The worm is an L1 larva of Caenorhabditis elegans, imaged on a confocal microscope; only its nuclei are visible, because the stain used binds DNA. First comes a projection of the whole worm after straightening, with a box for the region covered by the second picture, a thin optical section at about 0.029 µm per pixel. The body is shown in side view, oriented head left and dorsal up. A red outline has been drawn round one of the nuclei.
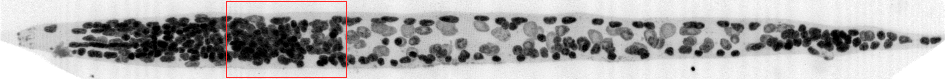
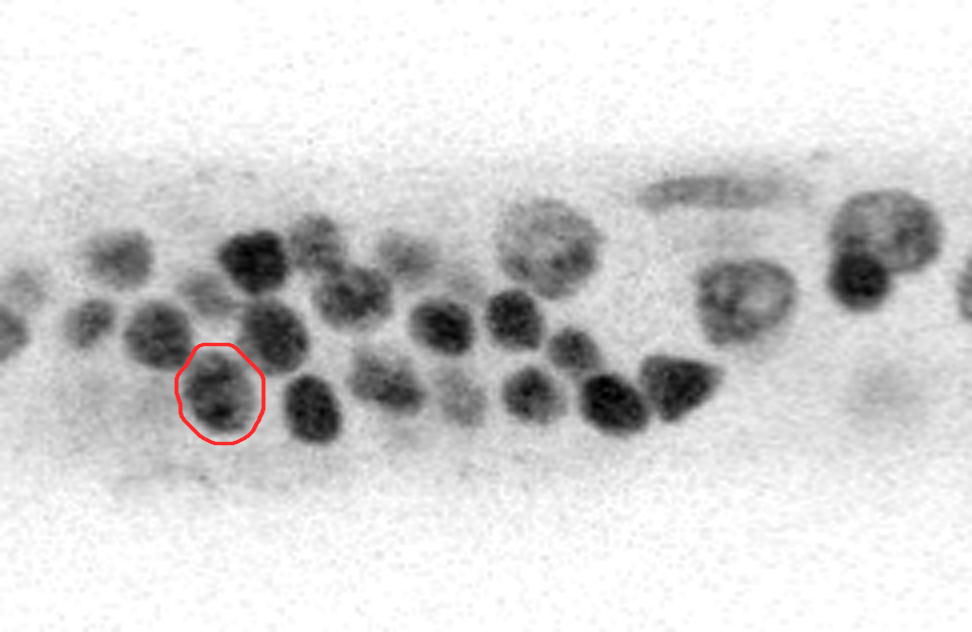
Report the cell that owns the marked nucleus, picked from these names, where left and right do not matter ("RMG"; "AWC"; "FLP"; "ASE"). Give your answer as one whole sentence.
It is the nucleus of AWC, a neuron.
